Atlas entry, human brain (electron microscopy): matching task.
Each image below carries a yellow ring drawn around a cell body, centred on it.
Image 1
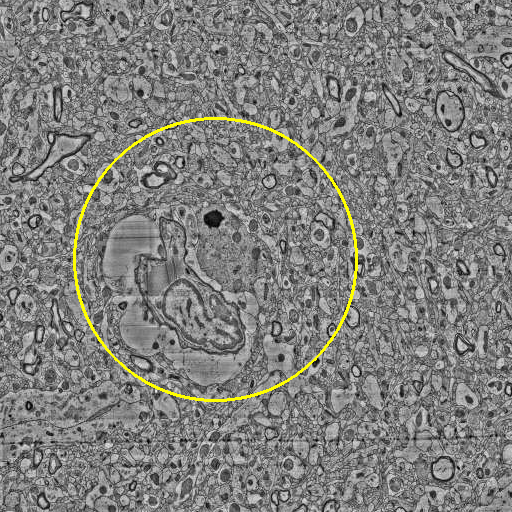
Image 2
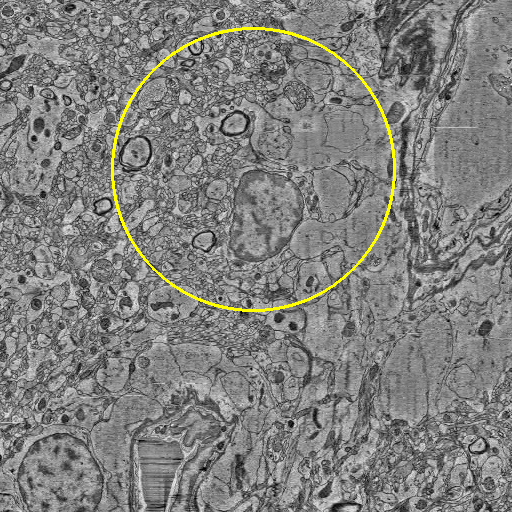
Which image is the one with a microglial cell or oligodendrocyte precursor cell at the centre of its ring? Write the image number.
2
